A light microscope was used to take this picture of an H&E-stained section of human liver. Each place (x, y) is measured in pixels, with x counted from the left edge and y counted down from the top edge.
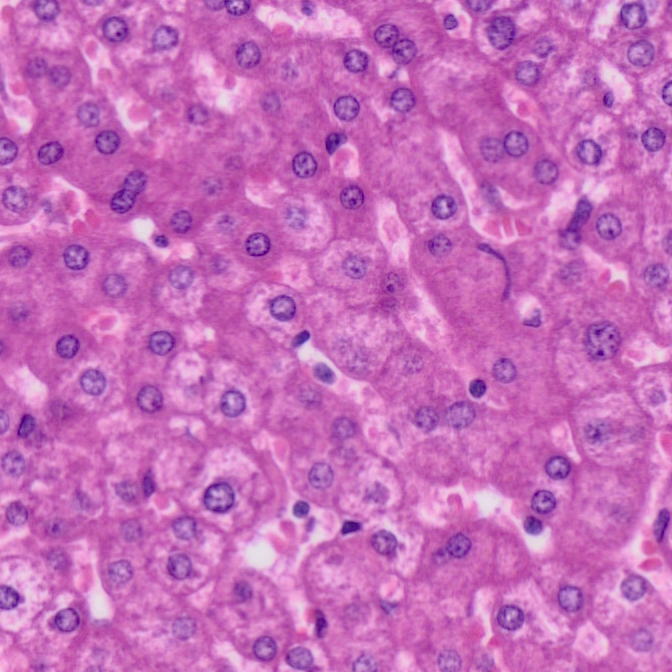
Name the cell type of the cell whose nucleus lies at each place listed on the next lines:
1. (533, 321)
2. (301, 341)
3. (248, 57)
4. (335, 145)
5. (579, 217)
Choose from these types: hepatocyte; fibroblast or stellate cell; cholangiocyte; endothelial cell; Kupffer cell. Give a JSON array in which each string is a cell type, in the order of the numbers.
["endothelial cell", "fibroblast or stellate cell", "hepatocyte", "endothelial cell", "Kupffer cell"]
